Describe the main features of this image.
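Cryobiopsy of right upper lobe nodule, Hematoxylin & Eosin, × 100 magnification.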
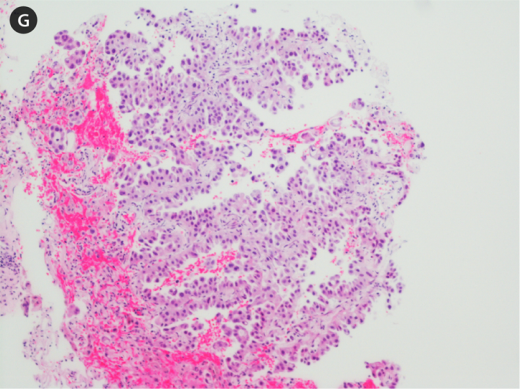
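This fragment of lung tissue is taken over by tumour cells arranged in a glandular pattern. The crowded cells line branching, gland-like spaces and small lumens. Their nuclei are purple, enlarged and vary in size and shape, with a modest rim of pale pink cytoplasm. Along the left edge lies a band of bright red, which looks like blood. The usual thin-walled, open air spaces of the lung are largely replaced by the sheets of tumour.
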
